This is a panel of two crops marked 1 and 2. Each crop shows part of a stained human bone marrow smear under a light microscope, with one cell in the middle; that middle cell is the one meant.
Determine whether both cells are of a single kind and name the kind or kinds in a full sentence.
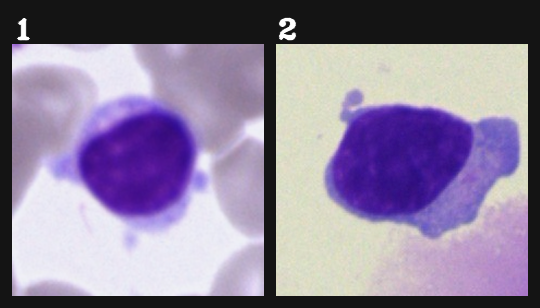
Yes, both crops in the pair show lymphocytes.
